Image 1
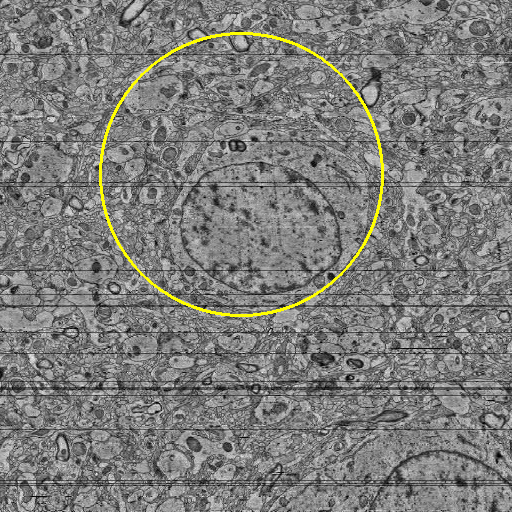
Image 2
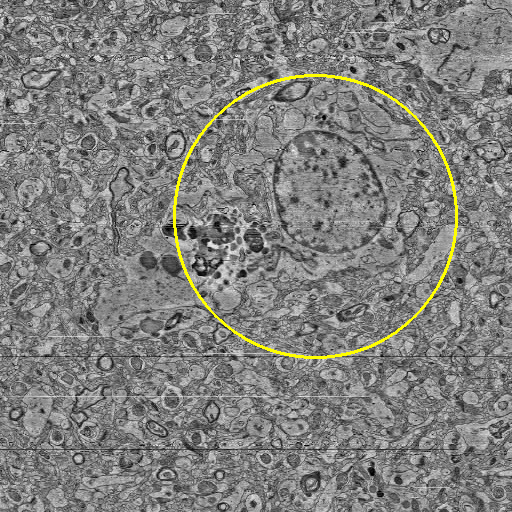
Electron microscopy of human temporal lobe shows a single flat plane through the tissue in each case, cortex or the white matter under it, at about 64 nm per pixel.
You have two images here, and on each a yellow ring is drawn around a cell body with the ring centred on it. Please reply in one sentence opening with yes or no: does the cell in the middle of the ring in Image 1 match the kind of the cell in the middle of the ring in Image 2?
No, the two images show cells of two kinds at the centres of their rings.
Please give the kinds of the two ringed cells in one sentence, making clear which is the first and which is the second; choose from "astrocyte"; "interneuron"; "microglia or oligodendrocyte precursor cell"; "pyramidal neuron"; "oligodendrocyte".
In the second picture the ringed cell is an astrocyte; in the first it is a pyramidal neuron.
